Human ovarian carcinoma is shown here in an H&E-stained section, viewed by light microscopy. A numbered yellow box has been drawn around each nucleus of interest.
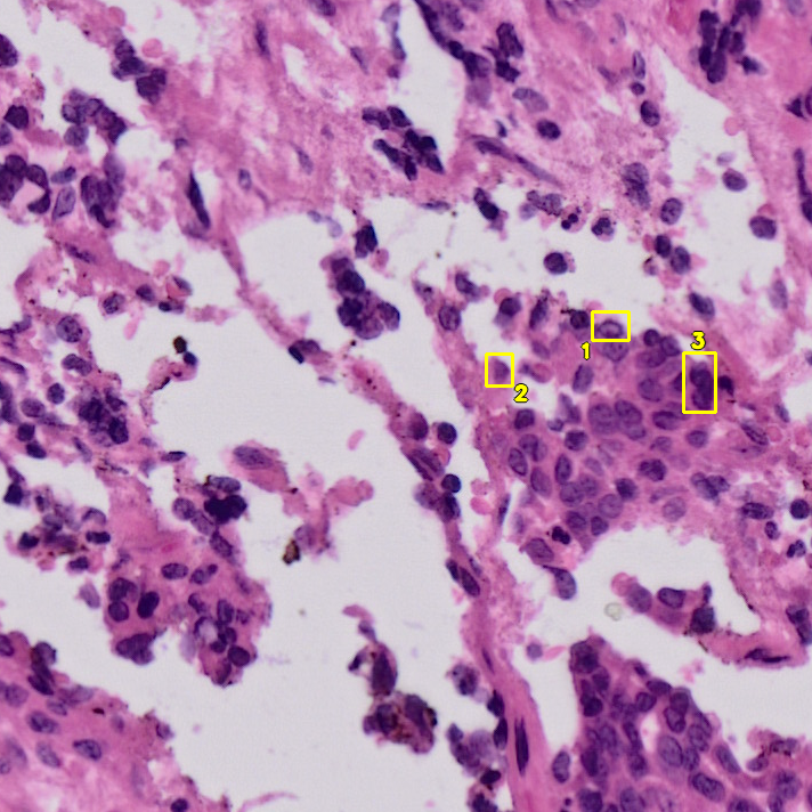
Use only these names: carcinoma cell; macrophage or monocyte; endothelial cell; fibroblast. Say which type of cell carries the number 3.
carcinoma cell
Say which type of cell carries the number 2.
macrophage or monocyte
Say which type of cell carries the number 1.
macrophage or monocyte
